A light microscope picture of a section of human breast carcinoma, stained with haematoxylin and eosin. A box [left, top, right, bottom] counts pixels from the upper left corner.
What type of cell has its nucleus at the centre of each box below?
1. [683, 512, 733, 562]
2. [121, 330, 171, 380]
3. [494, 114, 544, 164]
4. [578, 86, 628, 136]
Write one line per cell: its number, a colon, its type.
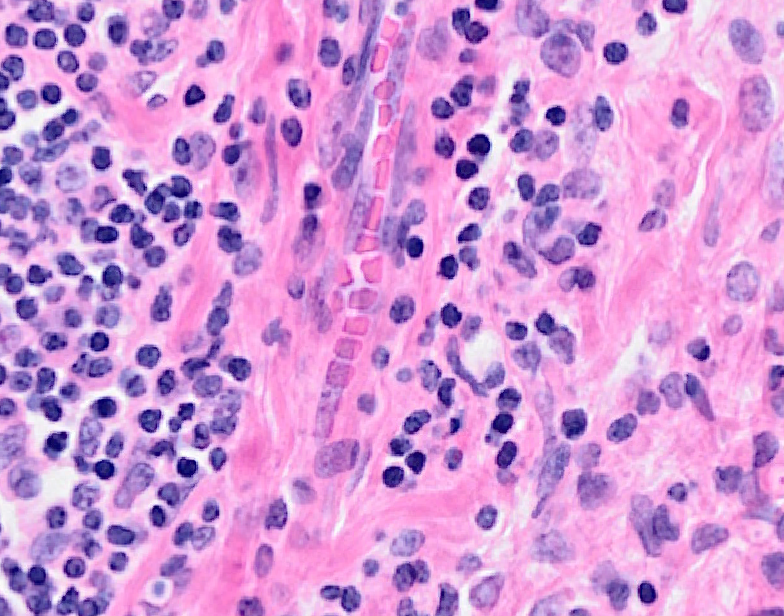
1: carcinoma cell
2: lymphocyte
3: lymphocyte
4: lymphocyte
